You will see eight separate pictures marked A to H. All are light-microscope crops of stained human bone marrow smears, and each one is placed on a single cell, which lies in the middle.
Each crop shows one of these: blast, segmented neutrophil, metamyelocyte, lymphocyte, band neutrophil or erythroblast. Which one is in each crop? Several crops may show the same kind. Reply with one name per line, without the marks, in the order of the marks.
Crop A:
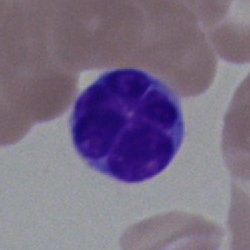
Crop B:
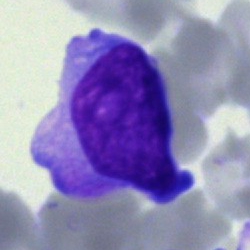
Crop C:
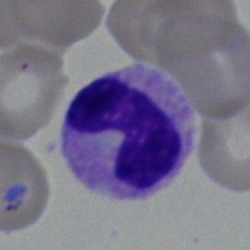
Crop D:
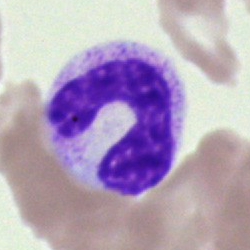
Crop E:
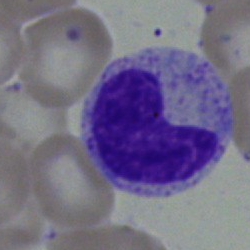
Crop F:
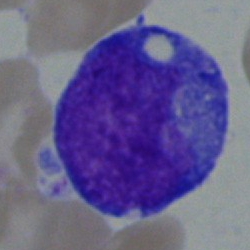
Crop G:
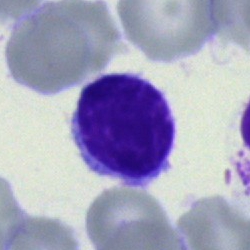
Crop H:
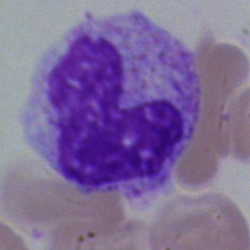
lymphocyte
blast
band neutrophil
band neutrophil
metamyelocyte
blast
lymphocyte
band neutrophil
